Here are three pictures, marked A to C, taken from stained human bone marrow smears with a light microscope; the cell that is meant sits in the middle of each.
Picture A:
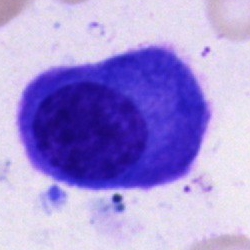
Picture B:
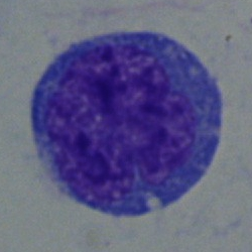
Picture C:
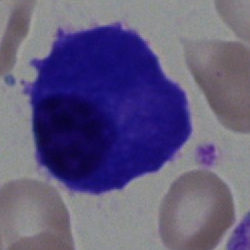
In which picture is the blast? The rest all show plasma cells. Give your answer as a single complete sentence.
It is picture B that shows the blast.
